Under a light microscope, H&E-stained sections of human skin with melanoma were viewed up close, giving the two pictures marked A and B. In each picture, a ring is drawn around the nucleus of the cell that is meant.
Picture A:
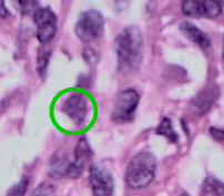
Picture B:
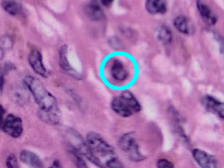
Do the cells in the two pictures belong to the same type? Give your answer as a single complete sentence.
No, they differ: the cell is a melanoma cell in picture A and a plasma cell in picture B.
